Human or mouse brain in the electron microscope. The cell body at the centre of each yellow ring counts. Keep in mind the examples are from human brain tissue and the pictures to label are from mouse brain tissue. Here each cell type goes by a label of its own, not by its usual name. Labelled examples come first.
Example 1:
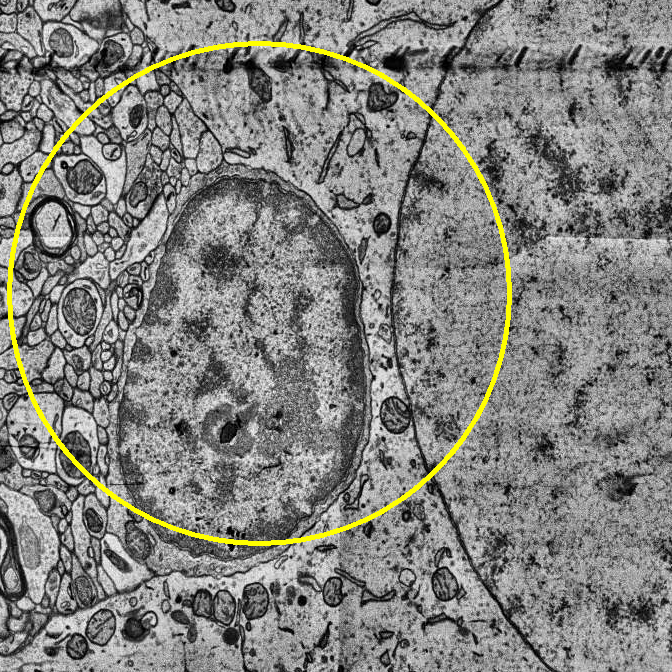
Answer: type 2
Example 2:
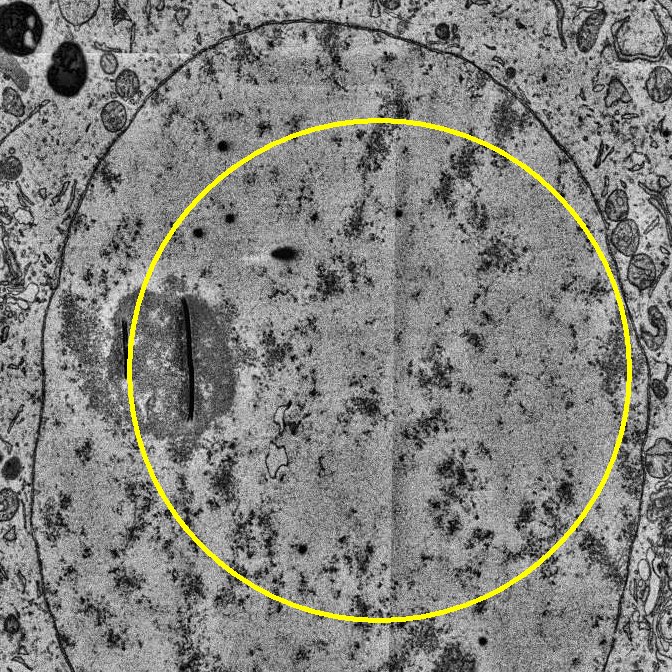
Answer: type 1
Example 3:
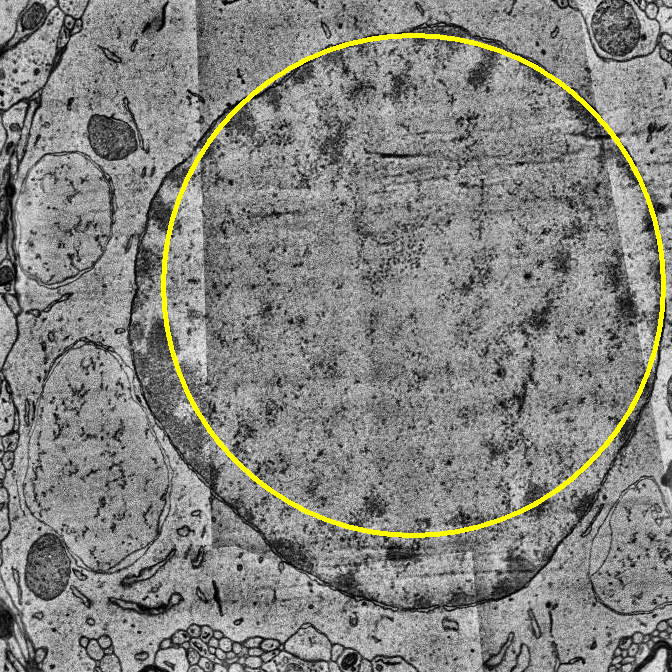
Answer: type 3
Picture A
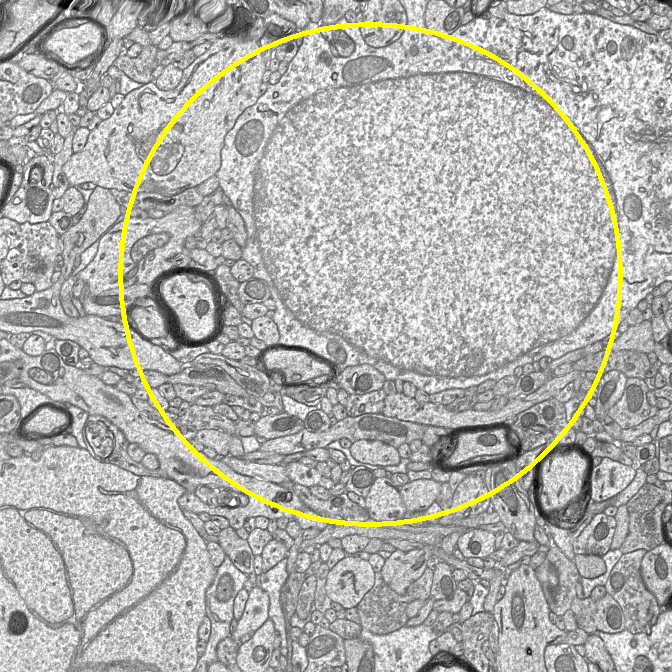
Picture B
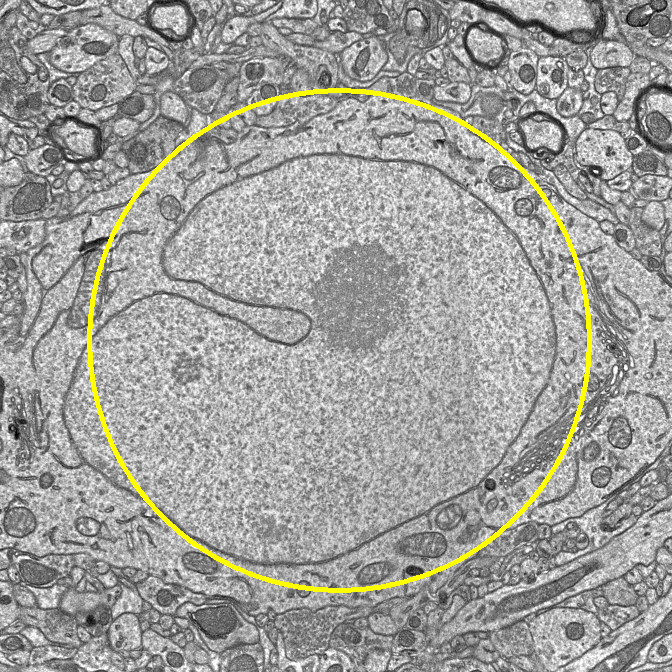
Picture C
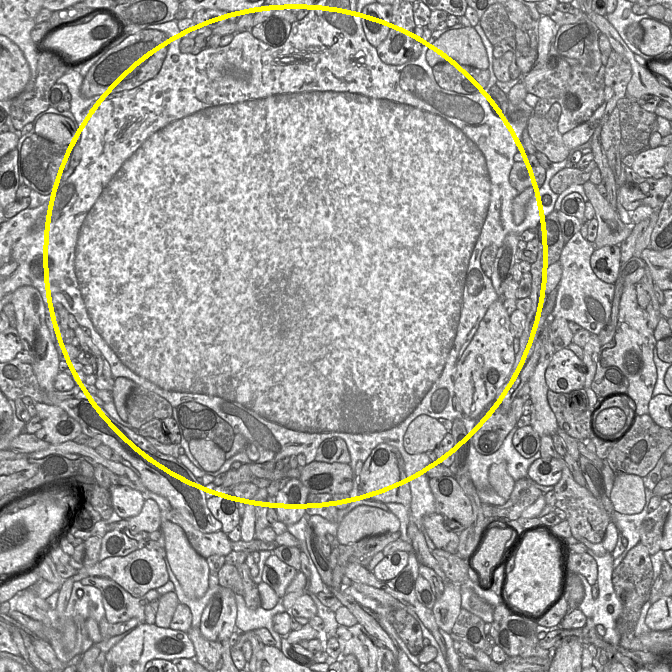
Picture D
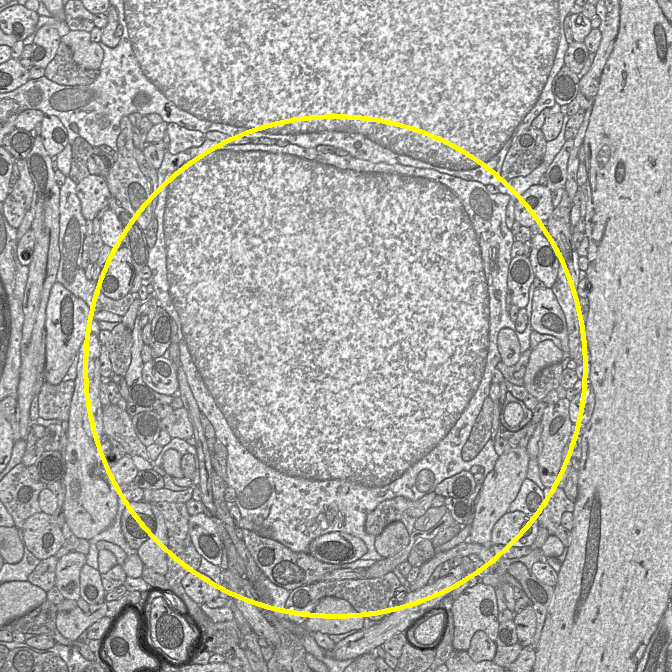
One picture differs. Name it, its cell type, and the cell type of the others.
Different: B, type 1. Others: type 3.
